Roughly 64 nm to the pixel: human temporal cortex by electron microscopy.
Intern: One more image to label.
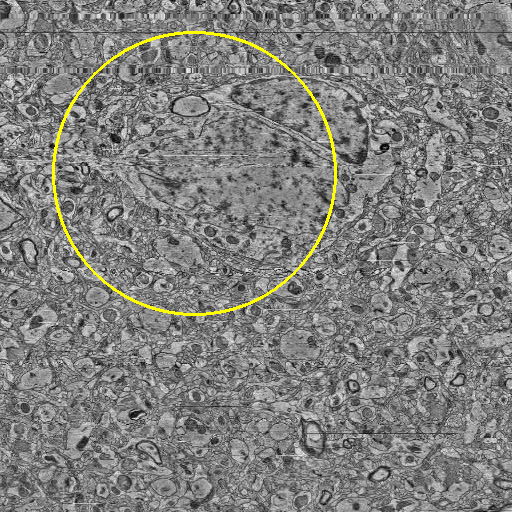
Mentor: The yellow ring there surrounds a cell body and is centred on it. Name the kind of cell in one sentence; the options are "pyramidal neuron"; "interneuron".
The ring marks the cell body of an interneuron.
